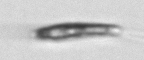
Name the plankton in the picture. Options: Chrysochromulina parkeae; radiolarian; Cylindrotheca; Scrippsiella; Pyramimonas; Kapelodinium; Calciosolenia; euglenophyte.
euglenophyte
